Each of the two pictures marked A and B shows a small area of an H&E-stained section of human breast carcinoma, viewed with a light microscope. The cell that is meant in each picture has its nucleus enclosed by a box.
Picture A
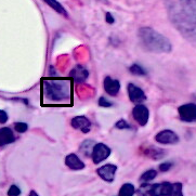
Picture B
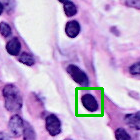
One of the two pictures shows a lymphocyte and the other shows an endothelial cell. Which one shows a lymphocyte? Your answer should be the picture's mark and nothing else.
B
